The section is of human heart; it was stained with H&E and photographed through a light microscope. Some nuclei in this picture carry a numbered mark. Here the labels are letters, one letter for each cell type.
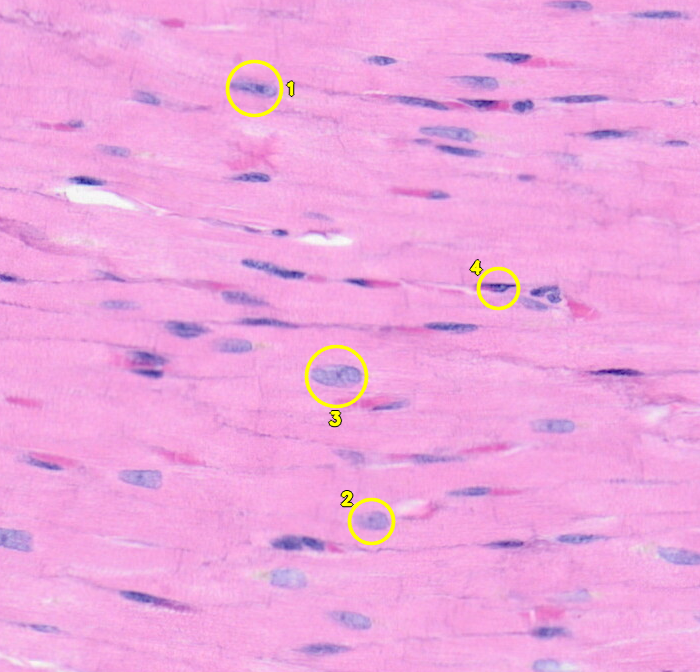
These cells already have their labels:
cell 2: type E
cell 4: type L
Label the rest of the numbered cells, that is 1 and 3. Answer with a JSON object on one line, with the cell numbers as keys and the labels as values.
{"1": "type E", "3": "type E"}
